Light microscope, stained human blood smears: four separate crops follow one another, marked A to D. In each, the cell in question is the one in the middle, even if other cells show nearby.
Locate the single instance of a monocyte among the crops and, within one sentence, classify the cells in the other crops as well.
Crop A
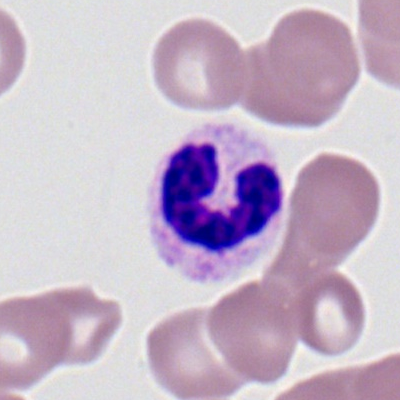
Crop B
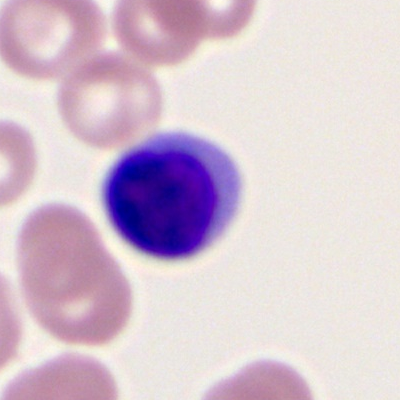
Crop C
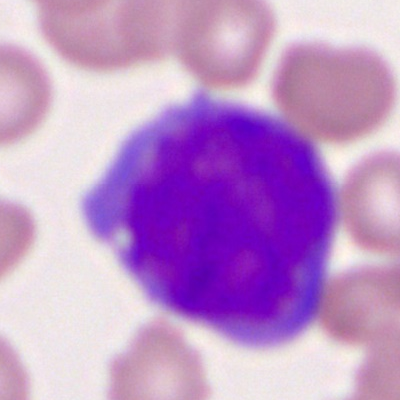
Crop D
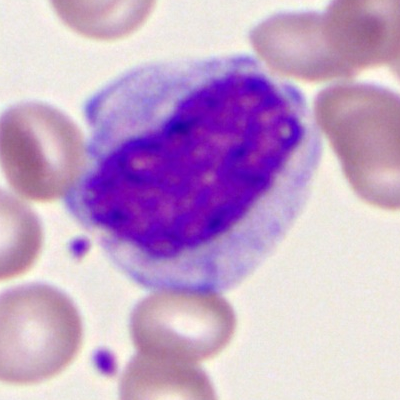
It is crop D that shows a monocyte, while crop A is a band neutrophil, crop B is a lymphocyte and crop C is a myeloblast.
